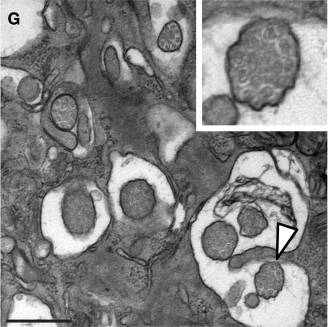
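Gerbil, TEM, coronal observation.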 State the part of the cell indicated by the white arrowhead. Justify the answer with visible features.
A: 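Round profiles in cross section sit in pale pockets.
Hence: cilium.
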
